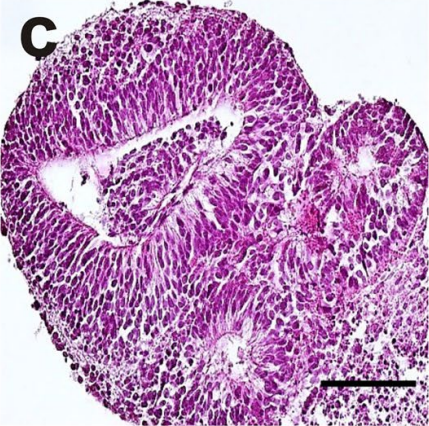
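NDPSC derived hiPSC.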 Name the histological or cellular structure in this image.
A: neural rosettes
